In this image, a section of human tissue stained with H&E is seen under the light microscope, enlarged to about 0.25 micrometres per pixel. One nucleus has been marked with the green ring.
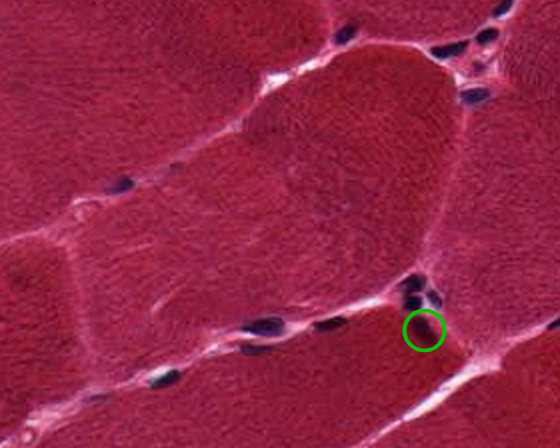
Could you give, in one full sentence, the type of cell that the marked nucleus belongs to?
The mark in this picture falls on the nucleus of a skeletal muscle fibre.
